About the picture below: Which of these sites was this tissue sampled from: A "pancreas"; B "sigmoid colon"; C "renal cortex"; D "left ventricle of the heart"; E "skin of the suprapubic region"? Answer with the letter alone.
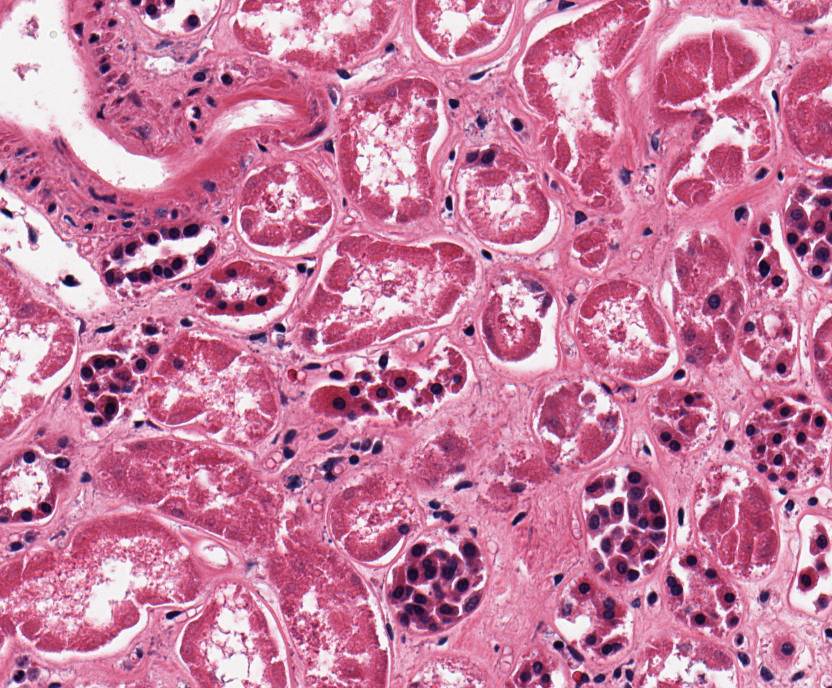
C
